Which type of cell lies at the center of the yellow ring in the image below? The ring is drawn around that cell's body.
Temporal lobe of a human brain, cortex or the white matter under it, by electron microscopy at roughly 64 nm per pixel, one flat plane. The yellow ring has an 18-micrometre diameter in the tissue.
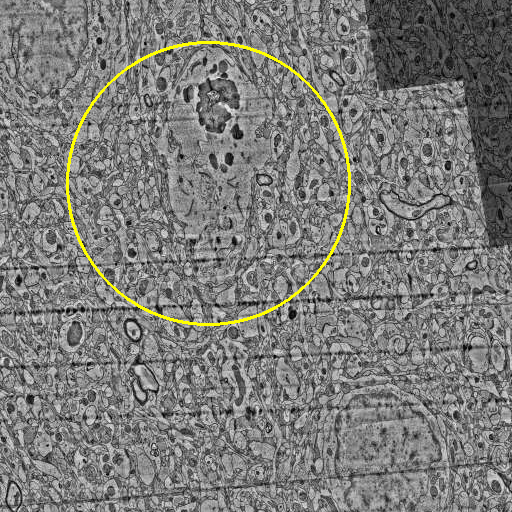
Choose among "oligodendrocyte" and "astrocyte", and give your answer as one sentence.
The cell body at the center belongs to an astrocyte.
